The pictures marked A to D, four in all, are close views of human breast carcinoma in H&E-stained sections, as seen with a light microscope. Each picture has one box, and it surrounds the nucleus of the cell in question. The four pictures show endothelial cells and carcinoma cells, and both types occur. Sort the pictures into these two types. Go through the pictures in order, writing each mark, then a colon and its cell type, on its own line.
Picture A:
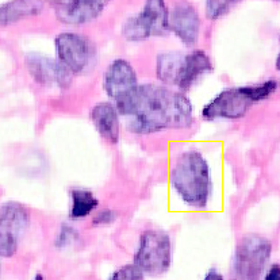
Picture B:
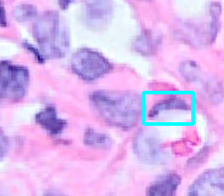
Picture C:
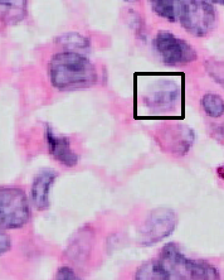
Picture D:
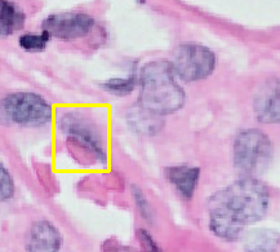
A: carcinoma cell
B: endothelial cell
C: carcinoma cell
D: endothelial cell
